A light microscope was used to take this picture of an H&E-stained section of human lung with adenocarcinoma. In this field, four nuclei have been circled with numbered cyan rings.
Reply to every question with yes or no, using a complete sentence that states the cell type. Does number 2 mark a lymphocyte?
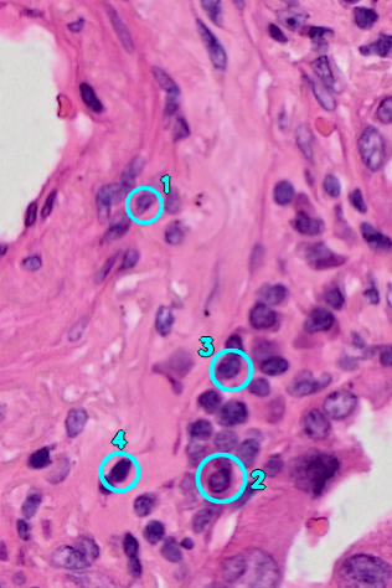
No, cell 2 is correctly identified as a plasma cell and not as a lymphocyte.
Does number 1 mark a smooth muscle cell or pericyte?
Yes, number 1 marks a cell that is a smooth muscle cell or pericyte.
